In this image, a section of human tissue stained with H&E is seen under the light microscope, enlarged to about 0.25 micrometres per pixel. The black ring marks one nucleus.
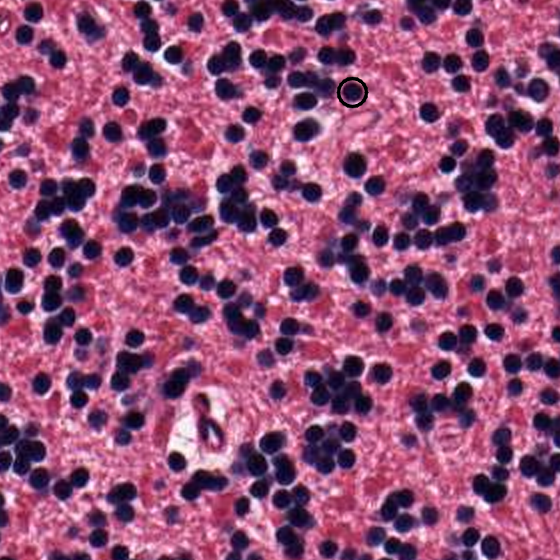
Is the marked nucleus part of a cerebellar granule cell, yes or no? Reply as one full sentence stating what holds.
Yes, the nucleus pointed to by the marking is that of a cerebellar granule cell.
